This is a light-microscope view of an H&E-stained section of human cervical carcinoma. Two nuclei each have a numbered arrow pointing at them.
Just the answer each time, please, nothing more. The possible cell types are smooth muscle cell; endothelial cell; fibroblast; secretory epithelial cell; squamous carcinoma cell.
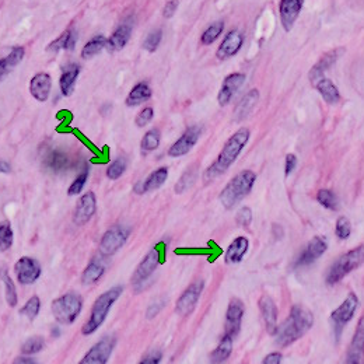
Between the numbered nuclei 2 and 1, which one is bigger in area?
1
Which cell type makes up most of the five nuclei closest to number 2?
smooth muscle cell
